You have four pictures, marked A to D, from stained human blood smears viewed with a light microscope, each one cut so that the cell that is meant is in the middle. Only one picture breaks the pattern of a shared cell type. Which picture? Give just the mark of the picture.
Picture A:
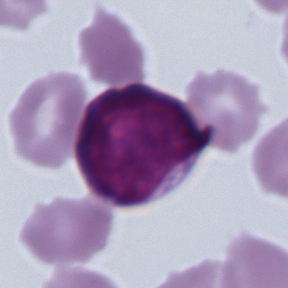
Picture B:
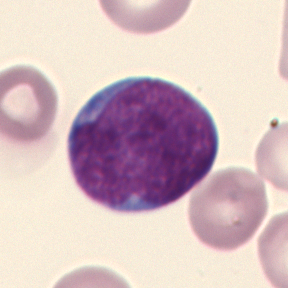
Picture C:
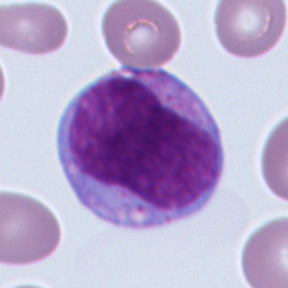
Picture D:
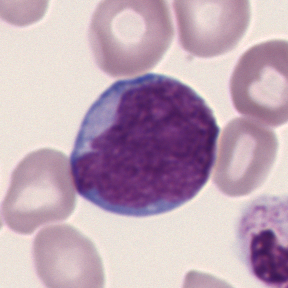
C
